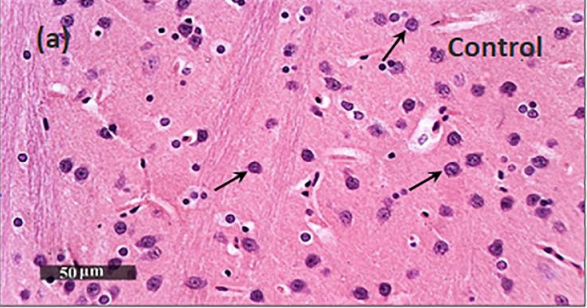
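Striatal tissue with many neurons scattered through an even pink neuropil, crossed by pale bundles of fibres. Small blood vessels with narrow clear spaces around them run through the field. The neuropil is compact without holes or vacuoles, and the neurons look intact rather than shrunken or darkened.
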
